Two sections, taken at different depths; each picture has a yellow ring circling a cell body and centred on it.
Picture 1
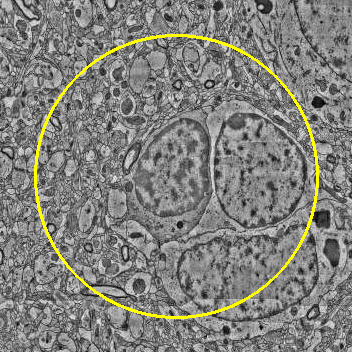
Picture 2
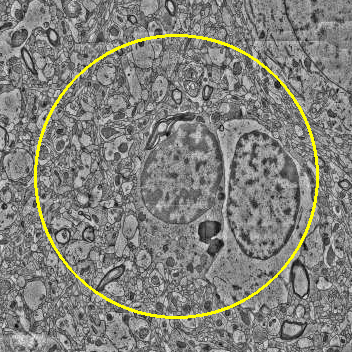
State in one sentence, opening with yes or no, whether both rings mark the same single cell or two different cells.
Yes, one cell appears twice, once in each ring.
